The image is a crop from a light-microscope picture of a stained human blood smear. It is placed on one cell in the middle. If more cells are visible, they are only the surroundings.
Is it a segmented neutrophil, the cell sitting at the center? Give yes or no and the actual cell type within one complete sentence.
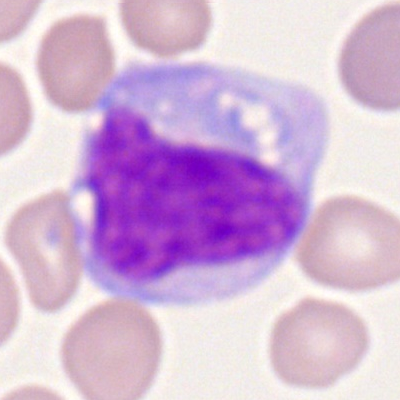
No, the central cell does not count as a segmented neutrophil; it is a monocyte.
